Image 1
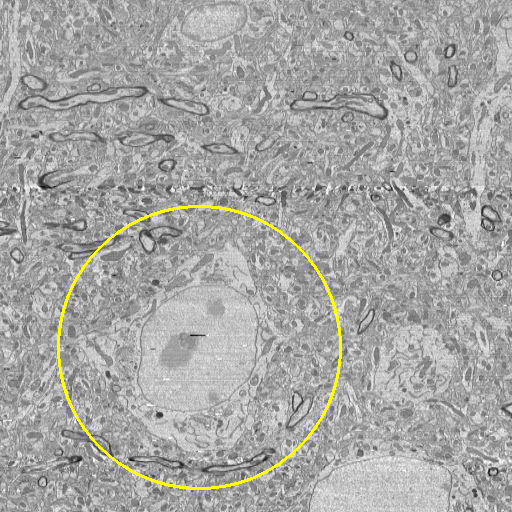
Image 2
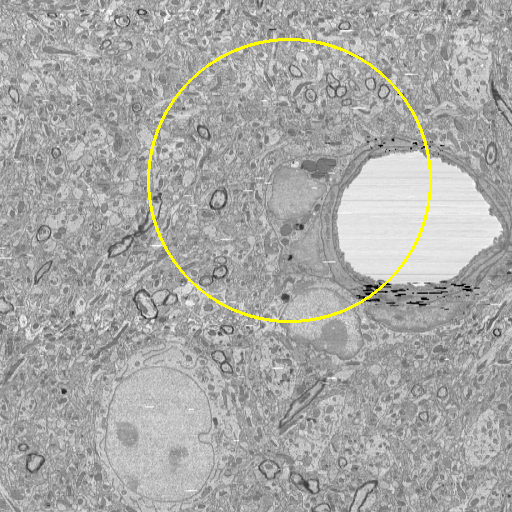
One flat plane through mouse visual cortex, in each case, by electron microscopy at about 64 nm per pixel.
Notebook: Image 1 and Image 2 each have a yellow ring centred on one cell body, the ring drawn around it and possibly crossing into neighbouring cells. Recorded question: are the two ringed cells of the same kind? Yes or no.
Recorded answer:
no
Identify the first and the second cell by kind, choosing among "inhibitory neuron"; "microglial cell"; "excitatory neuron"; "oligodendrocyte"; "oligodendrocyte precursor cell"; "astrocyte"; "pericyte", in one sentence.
The one in the first picture is an excitatory neuron, while the one in the second is a microglial cell.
